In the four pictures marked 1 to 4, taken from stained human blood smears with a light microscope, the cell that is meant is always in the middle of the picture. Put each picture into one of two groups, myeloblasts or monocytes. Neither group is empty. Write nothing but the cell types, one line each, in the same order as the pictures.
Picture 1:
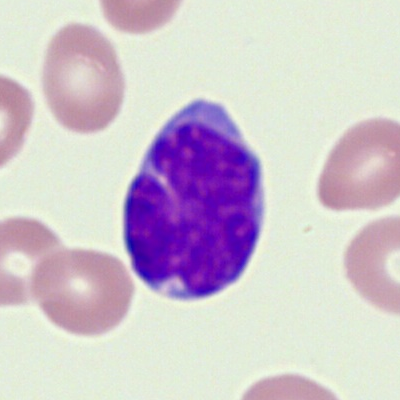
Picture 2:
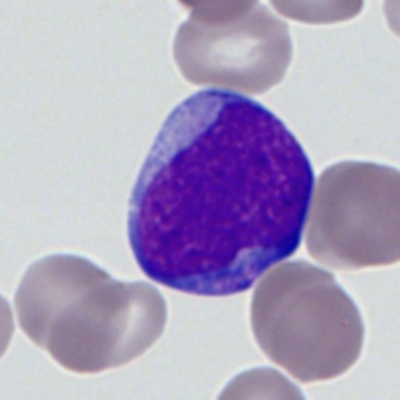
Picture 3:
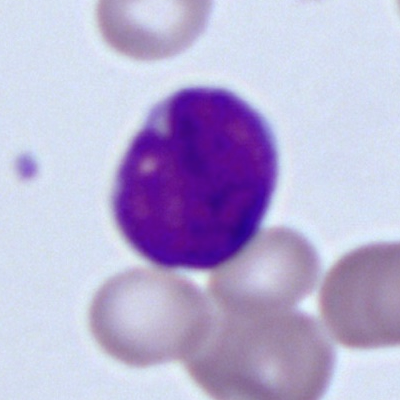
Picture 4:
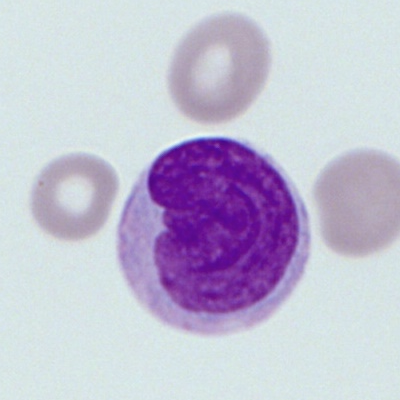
monocyte
myeloblast
myeloblast
myeloblast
